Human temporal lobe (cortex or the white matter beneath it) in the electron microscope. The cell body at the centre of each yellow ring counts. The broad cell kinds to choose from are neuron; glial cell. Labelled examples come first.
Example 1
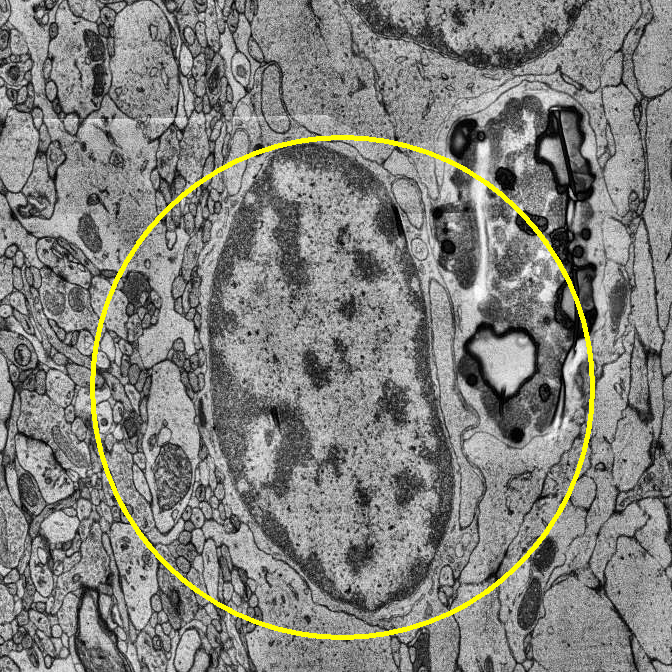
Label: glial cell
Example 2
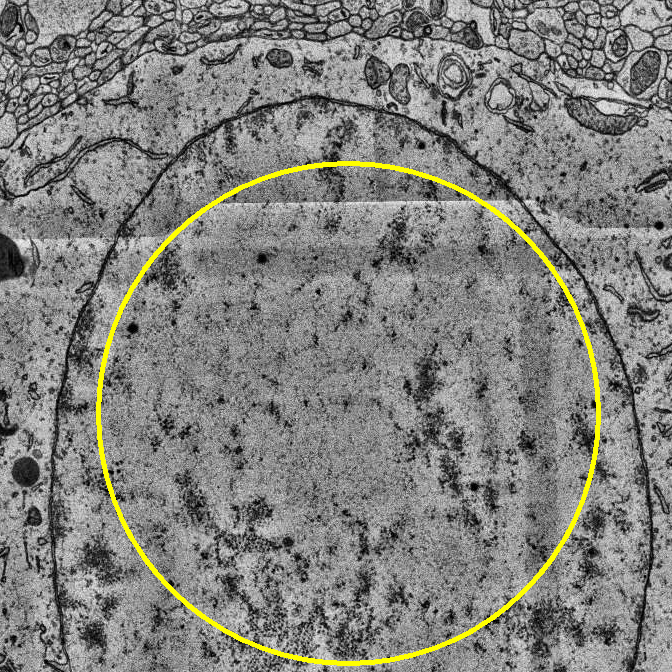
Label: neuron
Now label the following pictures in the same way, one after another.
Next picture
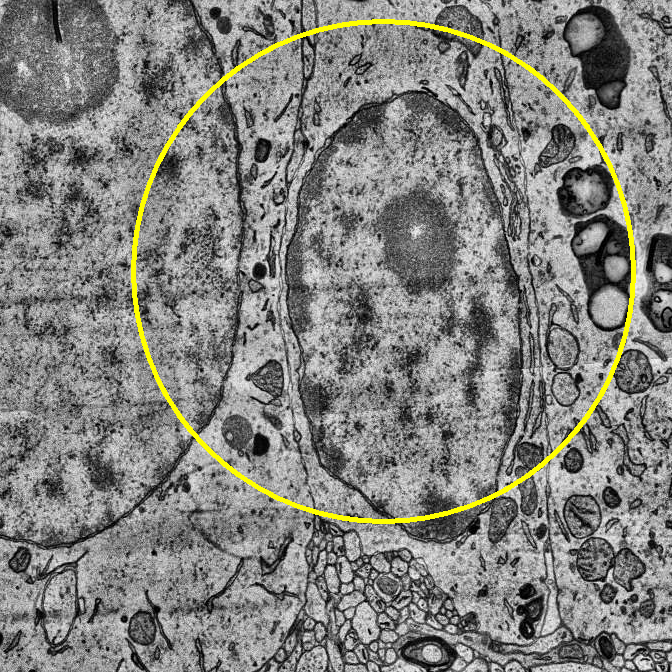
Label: glial cell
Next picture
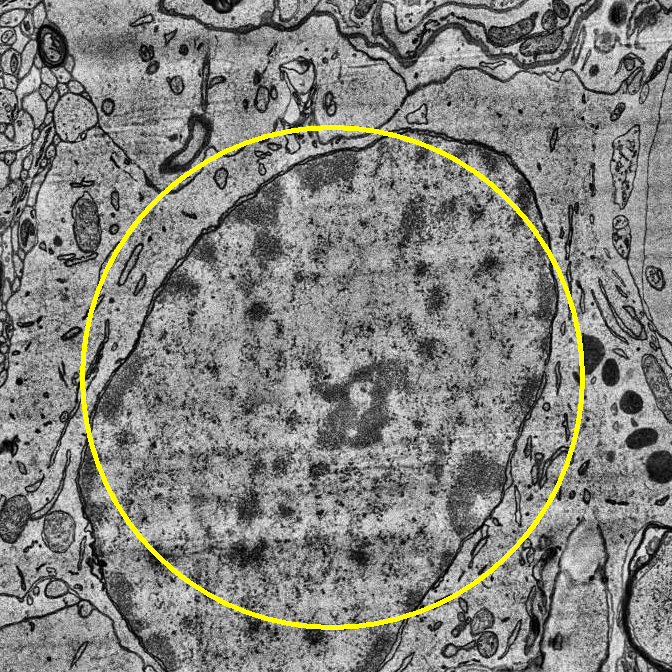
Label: glial cell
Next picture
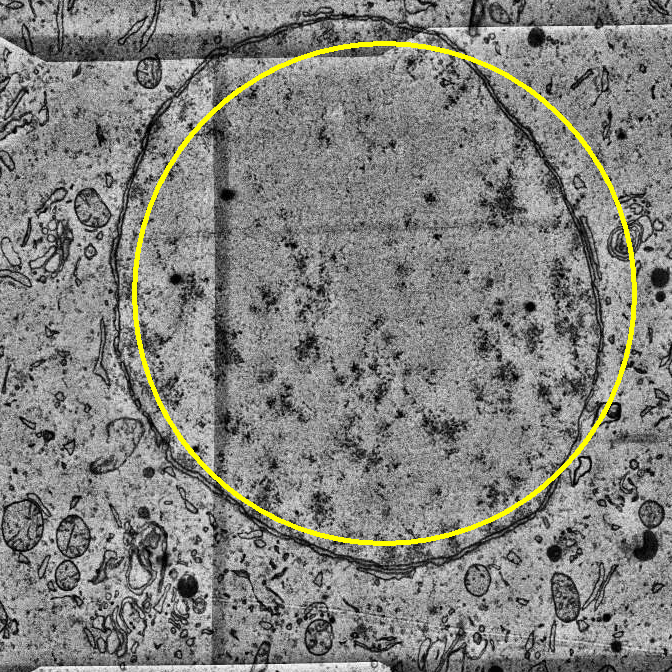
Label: neuron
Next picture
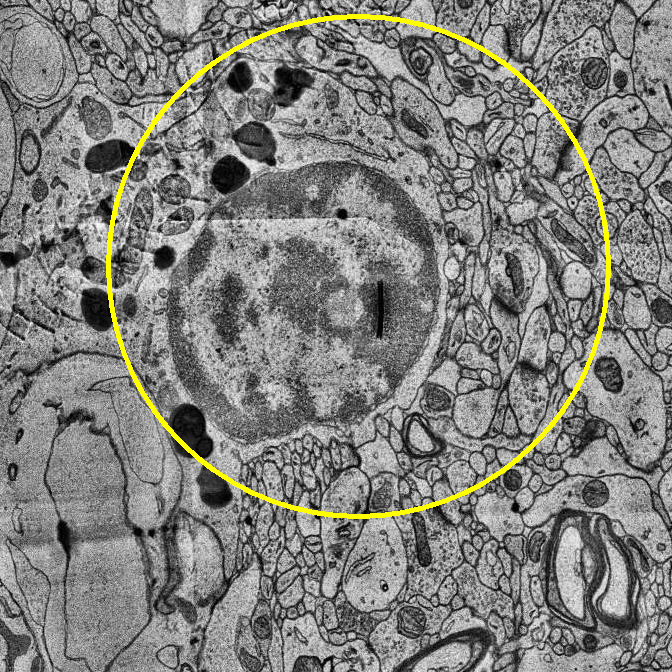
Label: glial cell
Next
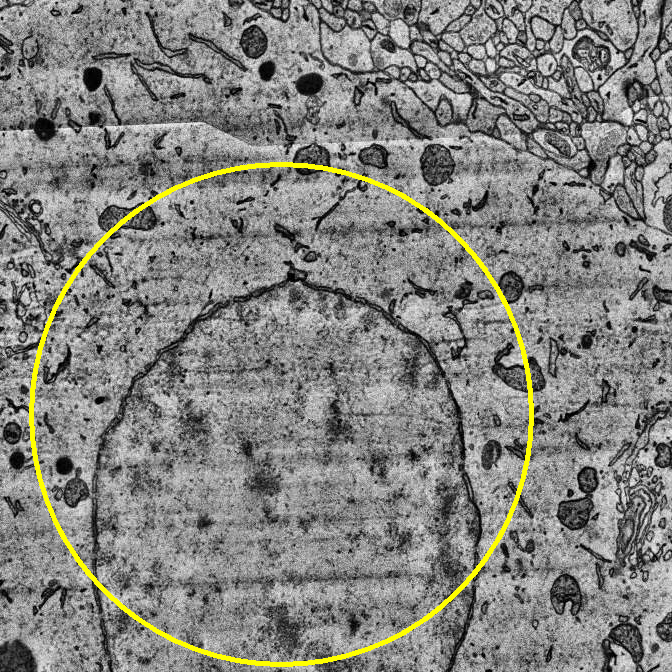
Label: neuron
